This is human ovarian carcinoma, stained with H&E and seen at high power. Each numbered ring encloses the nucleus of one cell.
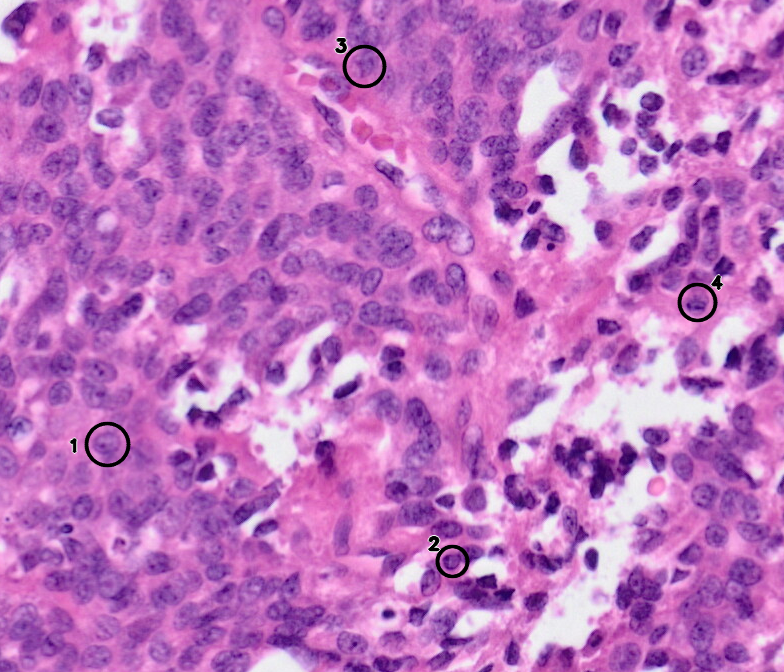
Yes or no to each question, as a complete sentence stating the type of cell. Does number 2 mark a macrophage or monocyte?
Yes, the cell that number 2 points to is a macrophage or monocyte.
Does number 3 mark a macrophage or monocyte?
No, cell 3 is not a macrophage or monocyte at all but a carcinoma cell.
